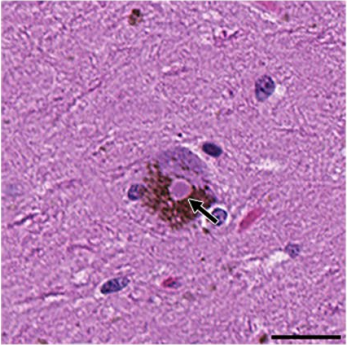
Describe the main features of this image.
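A large pigmented neuron in pink neuropil, its cytoplasm packed with coarse brown granules. Within it sits a single round, glassy pink inclusion with a pale surrounding halo, marked by the arrow. Small purple glial nuclei lie around the neuron.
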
